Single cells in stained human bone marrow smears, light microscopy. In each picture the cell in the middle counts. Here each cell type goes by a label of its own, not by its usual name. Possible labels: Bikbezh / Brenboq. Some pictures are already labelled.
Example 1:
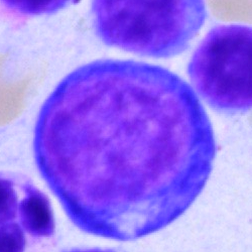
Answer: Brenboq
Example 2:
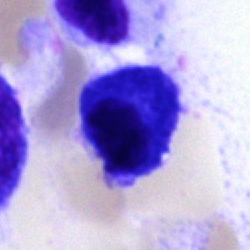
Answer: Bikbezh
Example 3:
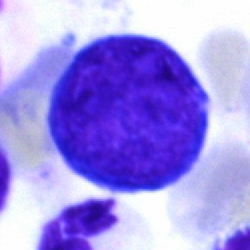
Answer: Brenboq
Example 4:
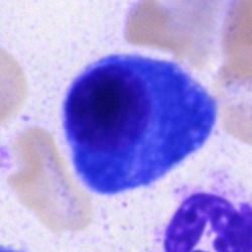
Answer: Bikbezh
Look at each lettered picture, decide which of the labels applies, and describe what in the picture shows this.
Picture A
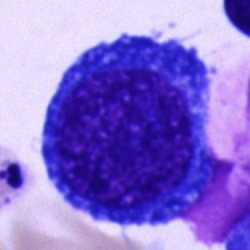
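Brenboq. Evidence: The chromatin is finely stippled rather than coarsely clumped.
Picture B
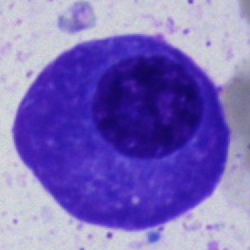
Bikbezh. Evidence: The cytoplasm is abundant and covers more of the cell than the nucleus does.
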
